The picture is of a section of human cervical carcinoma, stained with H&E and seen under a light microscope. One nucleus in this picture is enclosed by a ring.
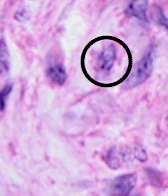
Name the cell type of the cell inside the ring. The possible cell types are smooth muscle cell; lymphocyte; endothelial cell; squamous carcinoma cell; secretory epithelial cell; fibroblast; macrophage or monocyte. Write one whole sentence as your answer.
In the stained section, the cell inside the ring is a macrophage or monocyte.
